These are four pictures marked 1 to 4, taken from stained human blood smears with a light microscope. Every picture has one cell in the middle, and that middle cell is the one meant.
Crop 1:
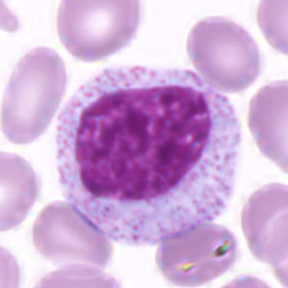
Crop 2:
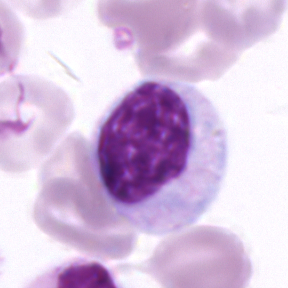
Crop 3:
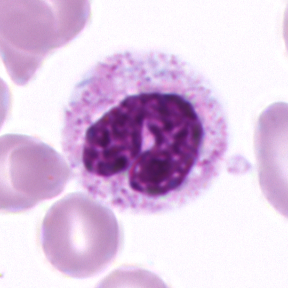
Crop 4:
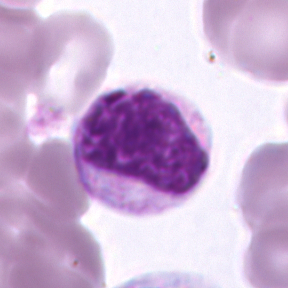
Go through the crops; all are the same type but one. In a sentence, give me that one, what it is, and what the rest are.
Crop 3 is the outlier, with a band neutrophil against metamyelocytes in the rest.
